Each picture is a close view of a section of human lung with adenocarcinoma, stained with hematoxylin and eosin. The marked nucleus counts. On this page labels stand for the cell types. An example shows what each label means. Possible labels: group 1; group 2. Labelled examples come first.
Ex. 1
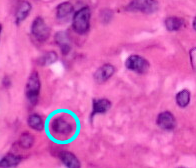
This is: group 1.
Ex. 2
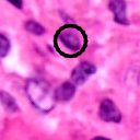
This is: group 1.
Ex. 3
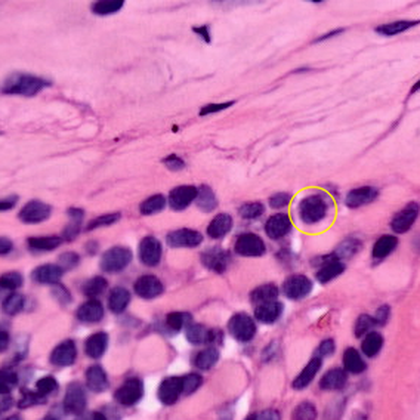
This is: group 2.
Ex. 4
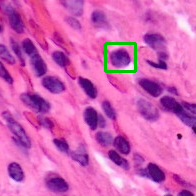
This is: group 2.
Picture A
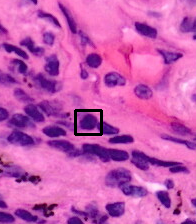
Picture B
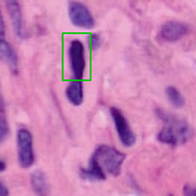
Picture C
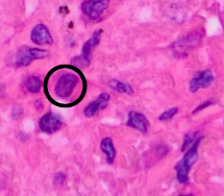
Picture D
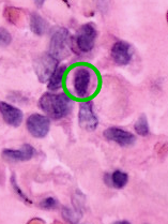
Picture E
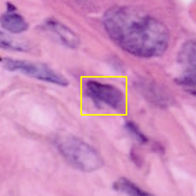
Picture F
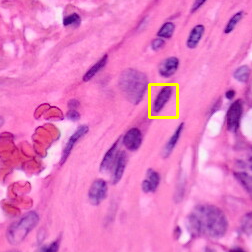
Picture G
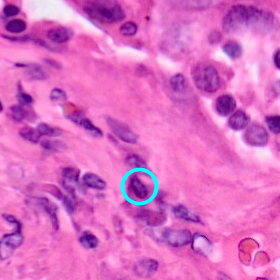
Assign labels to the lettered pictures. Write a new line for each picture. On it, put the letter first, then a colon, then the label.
A: group 2.
B: group 2.
C: group 1.
D: group 1.
E: group 1.
F: group 1.
G: group 1.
